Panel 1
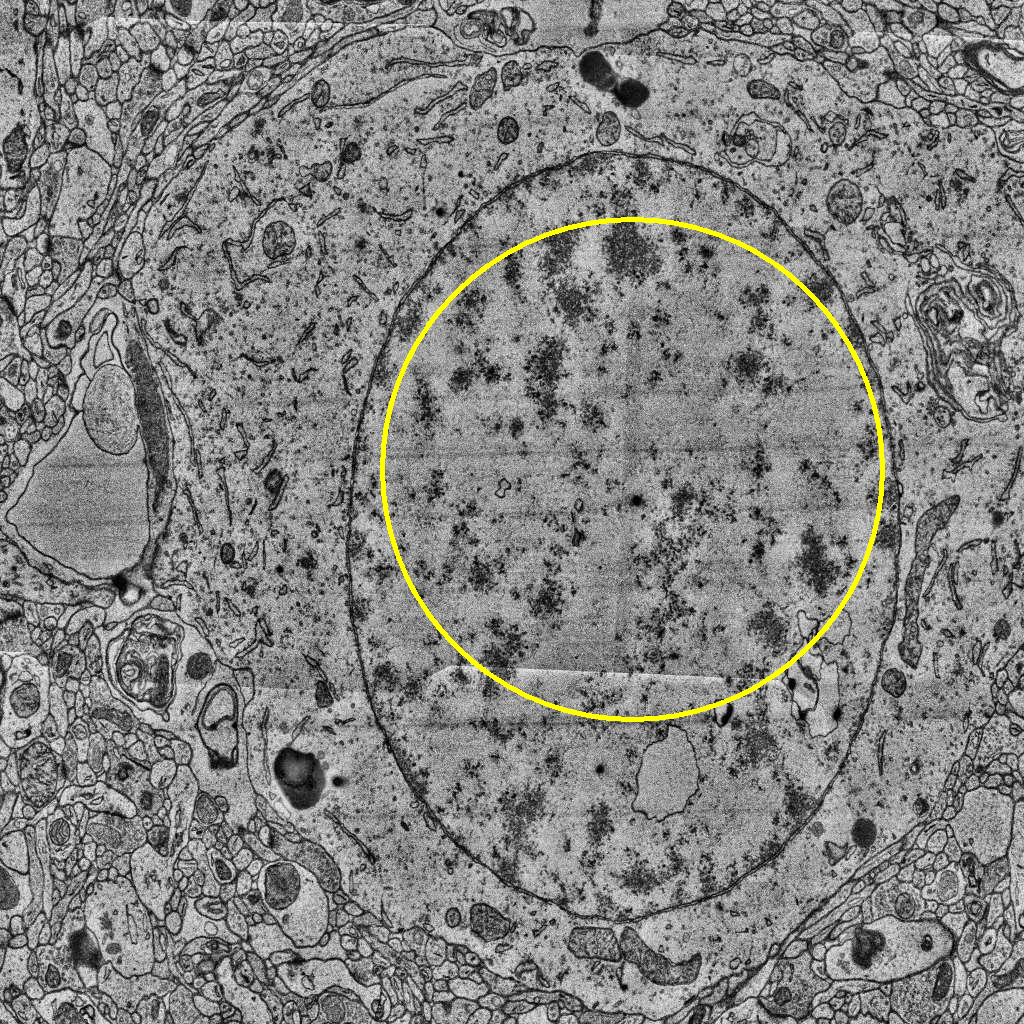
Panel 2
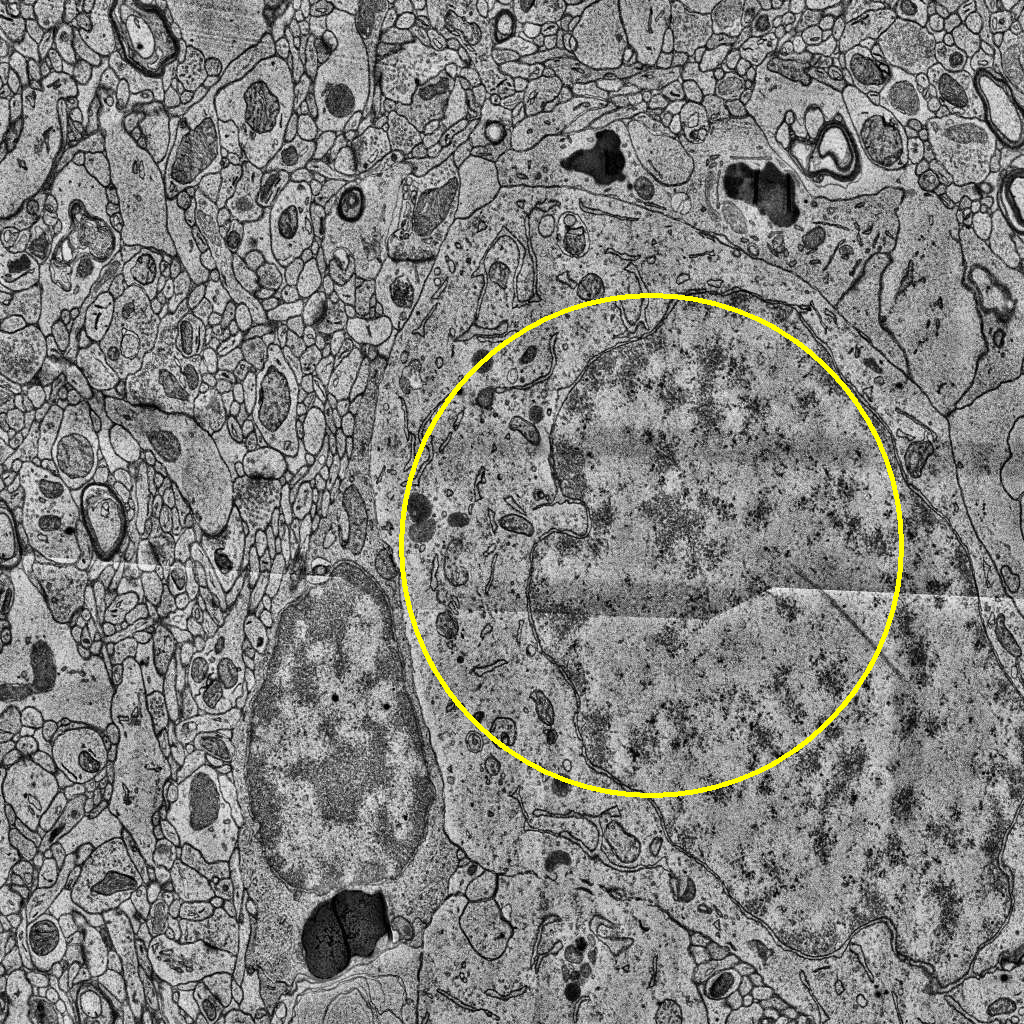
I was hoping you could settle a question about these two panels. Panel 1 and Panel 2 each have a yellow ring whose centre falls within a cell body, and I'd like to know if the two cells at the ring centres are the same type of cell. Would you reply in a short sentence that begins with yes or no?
No, they are two types of cell.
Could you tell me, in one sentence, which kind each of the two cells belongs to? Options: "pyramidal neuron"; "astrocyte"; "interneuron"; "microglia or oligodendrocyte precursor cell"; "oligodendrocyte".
The first ring marks a pyramidal neuron, and the second ring marks an interneuron.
